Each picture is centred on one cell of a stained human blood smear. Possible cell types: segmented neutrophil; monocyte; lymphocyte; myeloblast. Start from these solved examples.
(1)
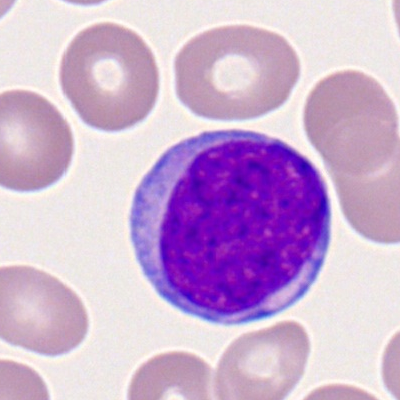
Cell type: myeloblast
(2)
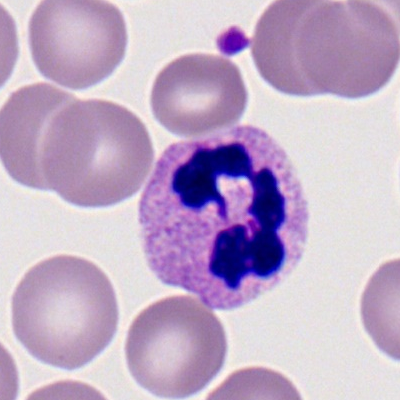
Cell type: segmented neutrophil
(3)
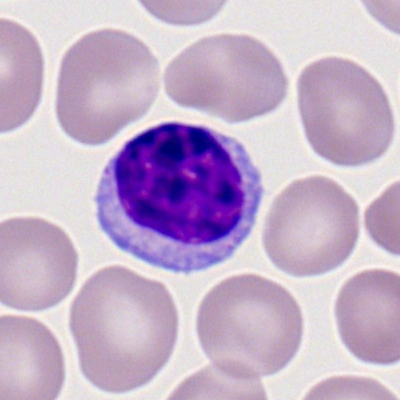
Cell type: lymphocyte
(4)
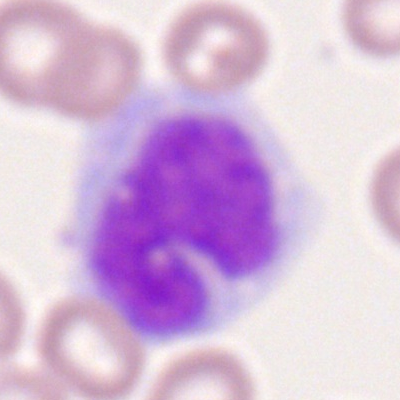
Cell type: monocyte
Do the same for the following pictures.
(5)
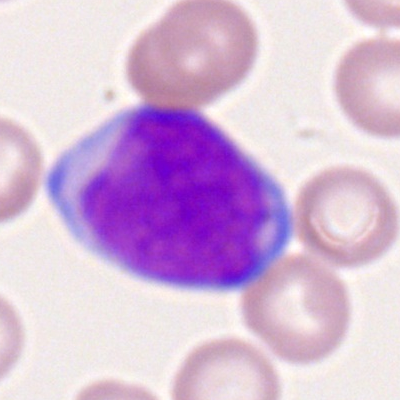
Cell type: myeloblast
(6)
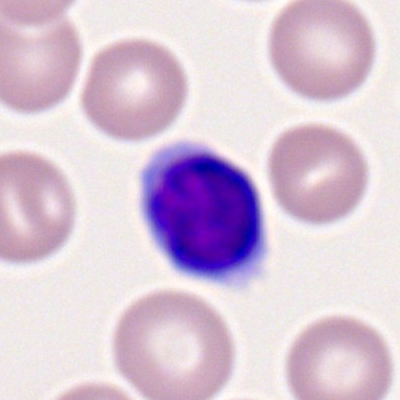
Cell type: lymphocyte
